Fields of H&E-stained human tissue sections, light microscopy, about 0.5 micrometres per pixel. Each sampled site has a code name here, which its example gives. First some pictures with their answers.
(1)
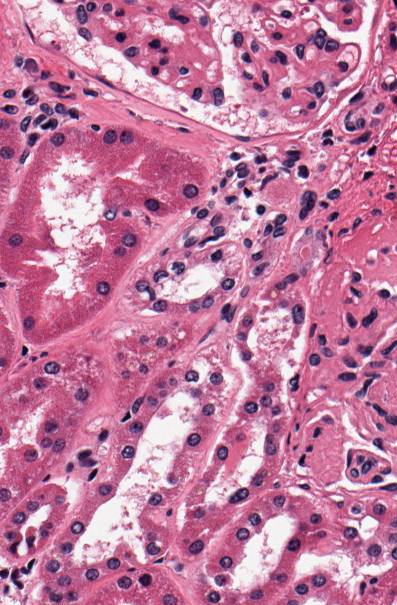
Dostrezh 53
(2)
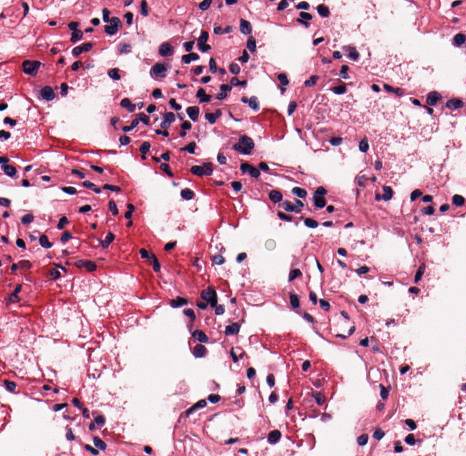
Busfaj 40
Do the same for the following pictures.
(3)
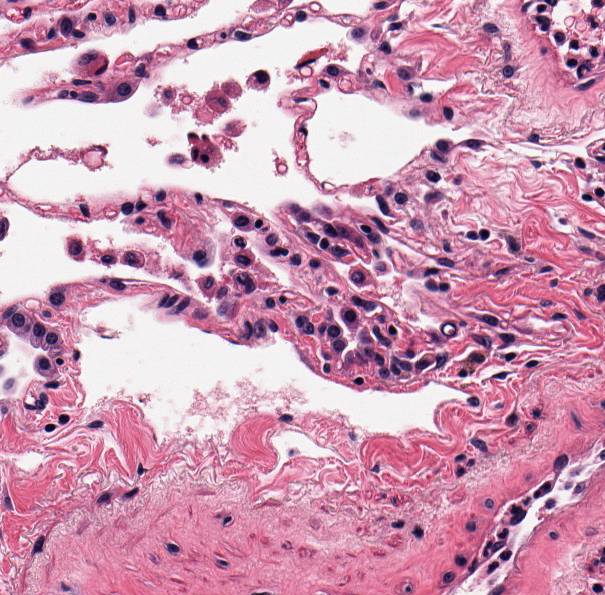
Busfaj 40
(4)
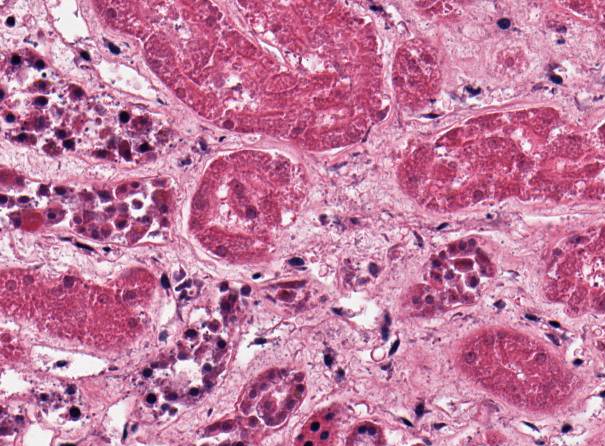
Dostrezh 53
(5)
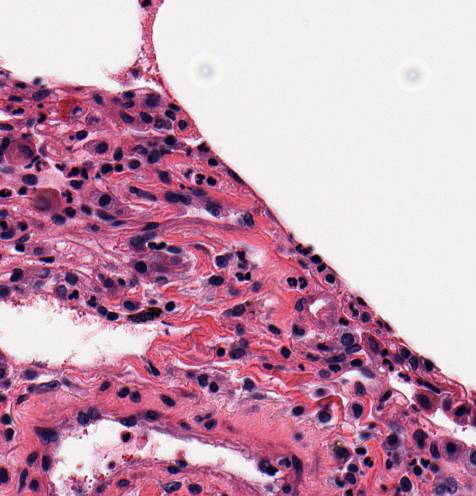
Busfaj 40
